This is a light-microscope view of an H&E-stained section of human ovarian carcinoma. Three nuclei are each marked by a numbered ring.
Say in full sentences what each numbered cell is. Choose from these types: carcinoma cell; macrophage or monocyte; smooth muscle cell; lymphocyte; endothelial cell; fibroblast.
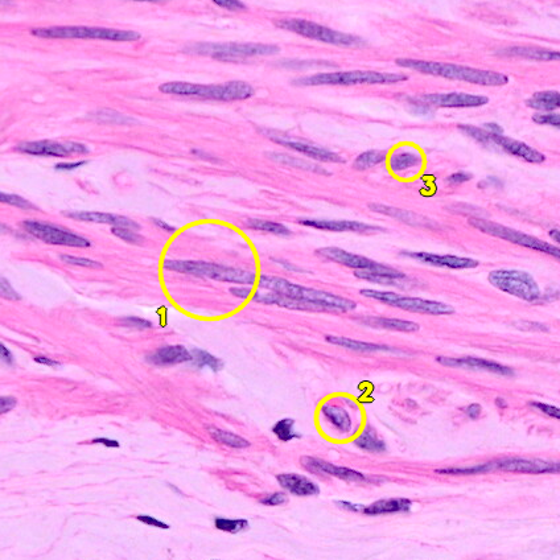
Cell 1 is a smooth muscle cell, cell 2 is an endothelial cell and cell 3 is a smooth muscle cell.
